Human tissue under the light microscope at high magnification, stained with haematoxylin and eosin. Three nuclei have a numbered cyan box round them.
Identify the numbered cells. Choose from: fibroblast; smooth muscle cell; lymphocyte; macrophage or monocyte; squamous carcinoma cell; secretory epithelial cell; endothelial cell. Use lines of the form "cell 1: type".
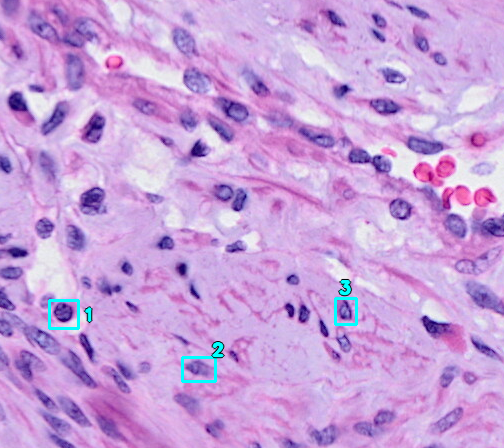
cell 1: lymphocyte
cell 2: smooth muscle cell
cell 3: smooth muscle cell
